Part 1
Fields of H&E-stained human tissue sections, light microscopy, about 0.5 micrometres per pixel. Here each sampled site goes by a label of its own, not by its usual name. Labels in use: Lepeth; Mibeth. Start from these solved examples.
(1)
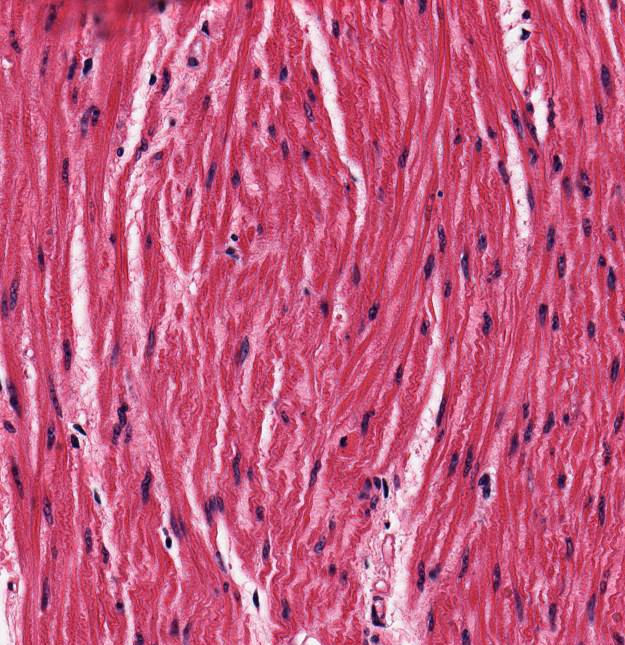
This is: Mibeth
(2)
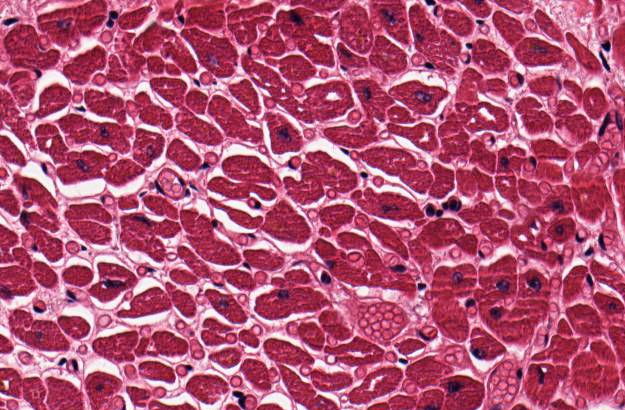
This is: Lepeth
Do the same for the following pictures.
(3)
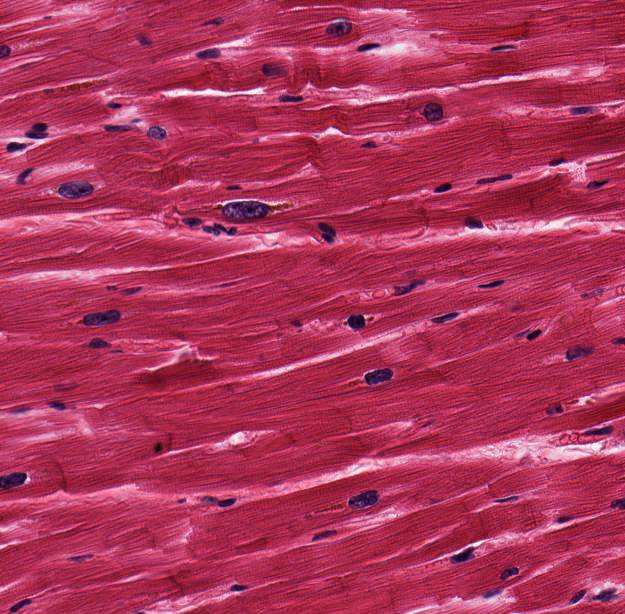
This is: Lepeth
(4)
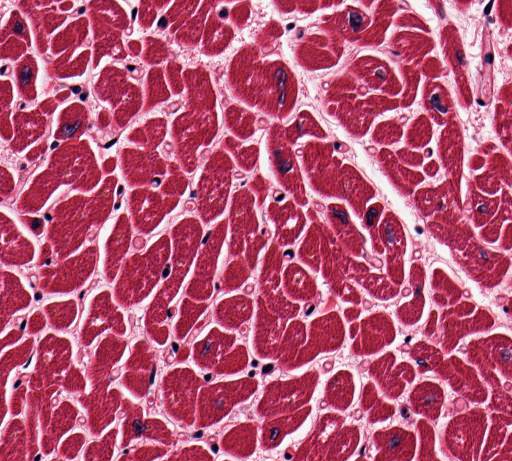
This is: Lepeth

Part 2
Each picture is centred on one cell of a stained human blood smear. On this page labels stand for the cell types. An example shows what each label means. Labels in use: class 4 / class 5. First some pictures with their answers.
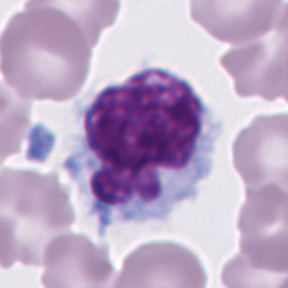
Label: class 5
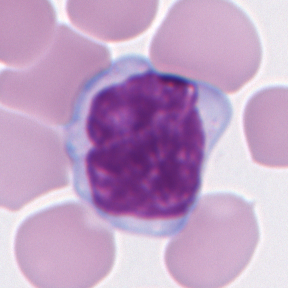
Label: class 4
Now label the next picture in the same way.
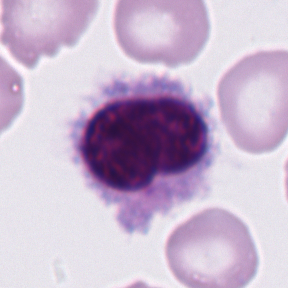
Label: class 5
